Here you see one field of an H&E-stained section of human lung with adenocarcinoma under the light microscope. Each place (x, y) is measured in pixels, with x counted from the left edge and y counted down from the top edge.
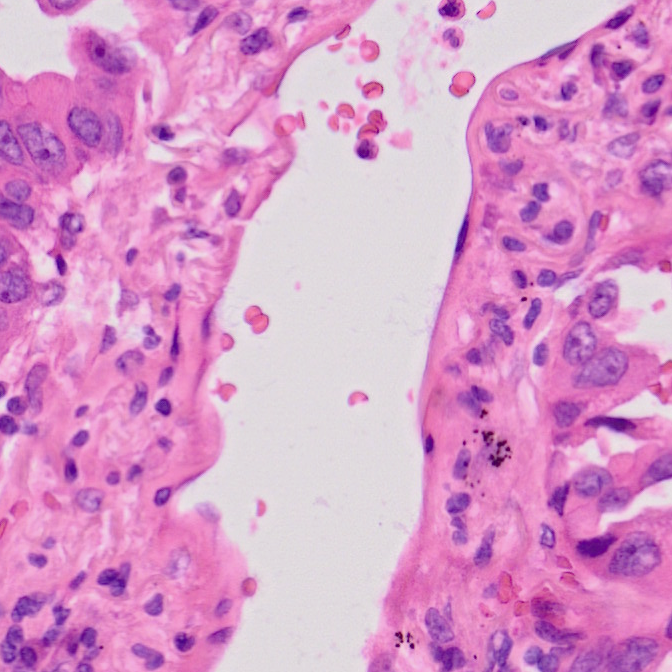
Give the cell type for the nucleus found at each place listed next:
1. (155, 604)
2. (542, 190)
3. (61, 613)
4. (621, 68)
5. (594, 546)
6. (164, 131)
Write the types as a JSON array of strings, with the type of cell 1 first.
["lymphocyte", "lymphocyte", "lymphocyte", "plasma cell", "carcinoma cell", "lymphocyte"]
